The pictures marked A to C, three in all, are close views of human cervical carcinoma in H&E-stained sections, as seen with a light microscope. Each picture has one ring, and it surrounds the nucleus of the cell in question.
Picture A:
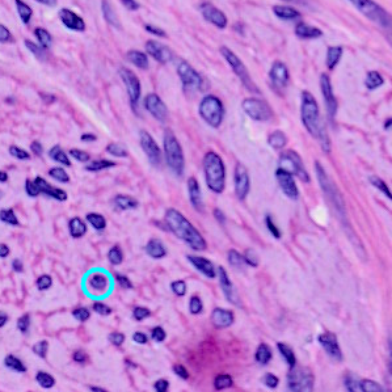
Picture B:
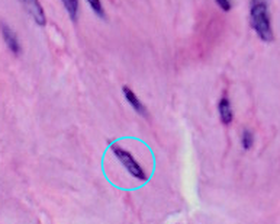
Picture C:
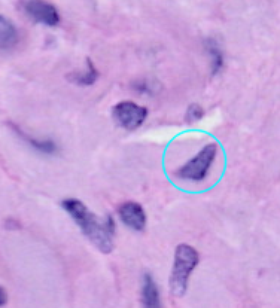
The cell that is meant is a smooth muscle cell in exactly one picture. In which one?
A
